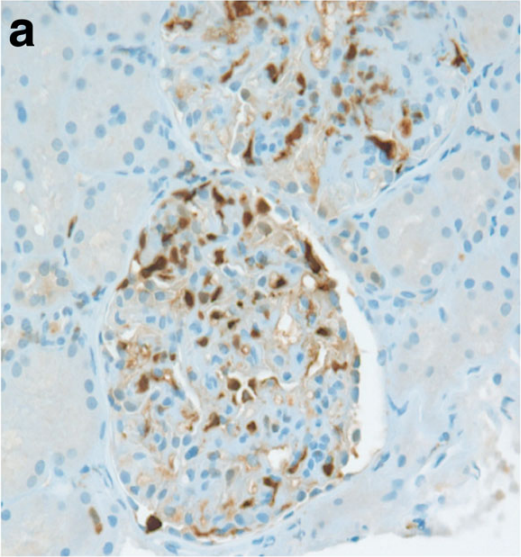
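A kidney section centred on a glomerulus, with a second glomerulus partly visible at the top, surrounded by tubules. Within the round glomerular tuft, many cells are stained dark brown, both in their nuclei and cytoplasm; they are scattered through the tuft and along the capillary loops, some small and round, others irregular. Between them most nuclei are blue and unstained. A clear space of Bowman's capsule separates the tuft from the capsule on one side. The surrounding tubules have pale cytoplasm and blue nuclei and are largely unstained, with only occasional brown cells in the interstitium.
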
